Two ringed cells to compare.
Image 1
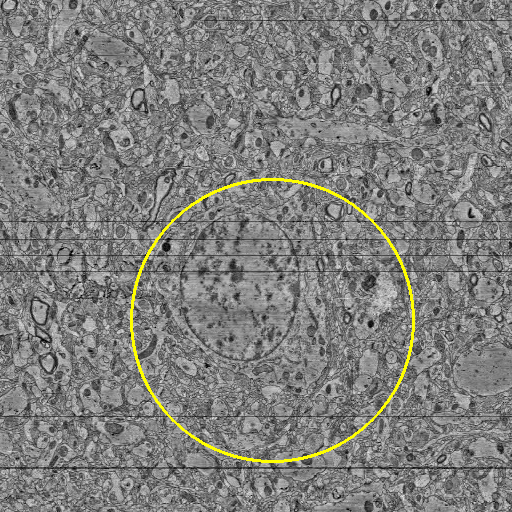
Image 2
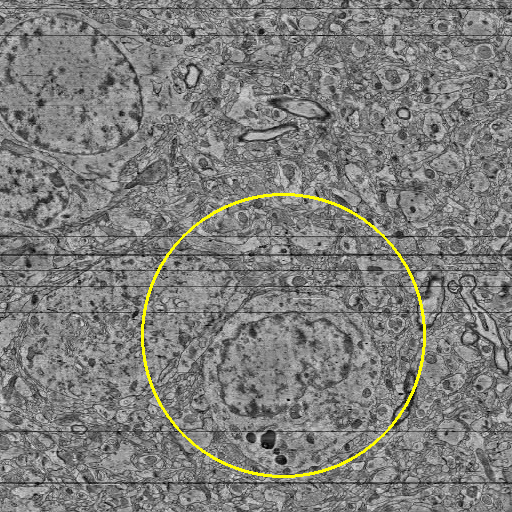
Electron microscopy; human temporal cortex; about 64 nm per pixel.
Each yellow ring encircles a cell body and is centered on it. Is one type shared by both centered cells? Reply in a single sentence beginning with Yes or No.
No, two types are found among the cells at the centers of the rings.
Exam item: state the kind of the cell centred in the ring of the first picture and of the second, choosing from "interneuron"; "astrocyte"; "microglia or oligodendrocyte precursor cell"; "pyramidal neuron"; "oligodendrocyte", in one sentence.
The first picture shows a pyramidal neuron at the ring centre and the second shows an interneuron.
